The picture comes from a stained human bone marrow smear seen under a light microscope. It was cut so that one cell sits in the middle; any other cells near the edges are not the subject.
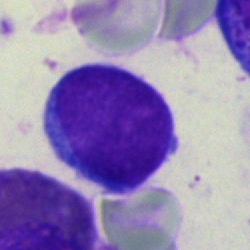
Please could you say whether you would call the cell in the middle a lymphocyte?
yes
